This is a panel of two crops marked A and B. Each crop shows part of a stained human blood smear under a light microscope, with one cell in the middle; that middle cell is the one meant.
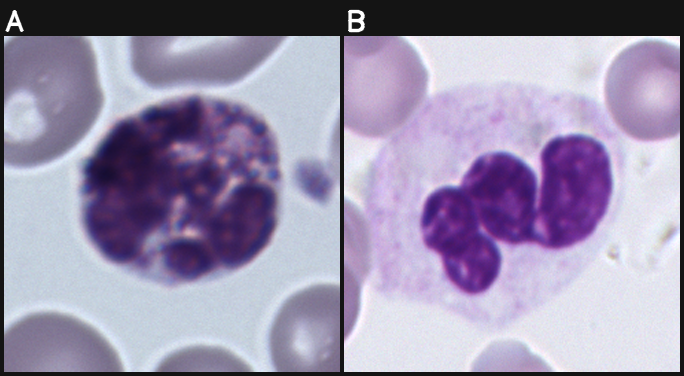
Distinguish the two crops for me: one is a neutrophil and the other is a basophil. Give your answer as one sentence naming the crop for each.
The cell at the middle is a basophil in crop A, but a neutrophil in crop B.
